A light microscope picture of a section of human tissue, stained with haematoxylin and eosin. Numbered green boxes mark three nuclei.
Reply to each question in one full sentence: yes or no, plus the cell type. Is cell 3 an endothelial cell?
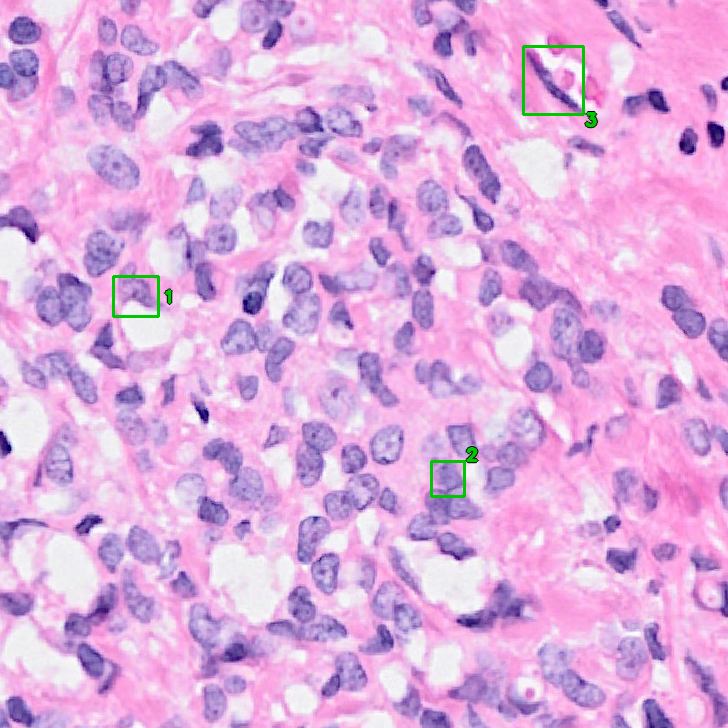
Yes, with respect to number 3, the cell is an endothelial cell.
